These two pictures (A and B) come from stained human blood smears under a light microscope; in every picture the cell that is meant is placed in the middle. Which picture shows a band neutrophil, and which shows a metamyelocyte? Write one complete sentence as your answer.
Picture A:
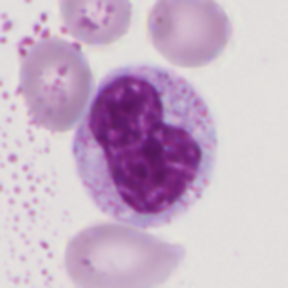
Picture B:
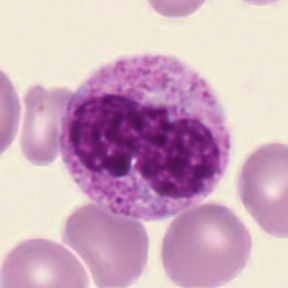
In picture A the cell is a metamyelocyte; in picture B, a band neutrophil.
